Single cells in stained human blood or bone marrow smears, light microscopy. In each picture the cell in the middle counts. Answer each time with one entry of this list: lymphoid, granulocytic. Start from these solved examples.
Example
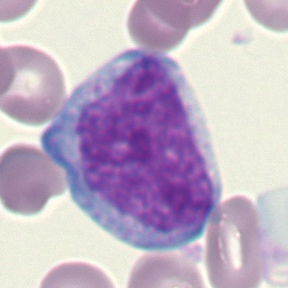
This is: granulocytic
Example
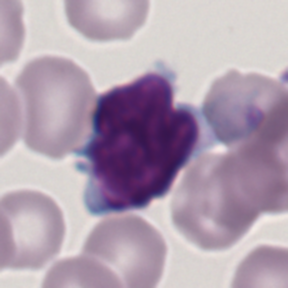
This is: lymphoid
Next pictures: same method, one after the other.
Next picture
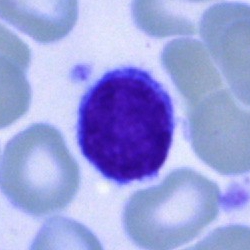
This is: lymphoid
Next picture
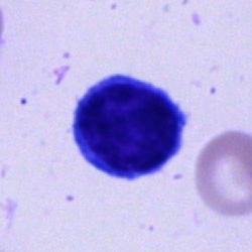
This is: lymphoid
